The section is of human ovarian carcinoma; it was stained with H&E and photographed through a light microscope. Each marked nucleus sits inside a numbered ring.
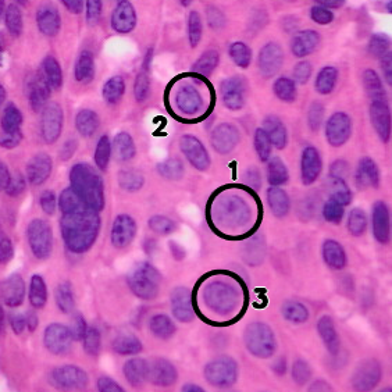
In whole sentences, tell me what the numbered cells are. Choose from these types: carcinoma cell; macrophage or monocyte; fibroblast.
Cell 1 is a carcinoma cell, cell 2 is a macrophage or monocyte and cell 3 is a carcinoma cell.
